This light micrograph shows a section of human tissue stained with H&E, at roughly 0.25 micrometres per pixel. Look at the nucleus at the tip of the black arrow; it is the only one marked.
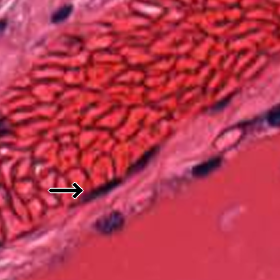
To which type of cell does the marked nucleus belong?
endothelial cell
